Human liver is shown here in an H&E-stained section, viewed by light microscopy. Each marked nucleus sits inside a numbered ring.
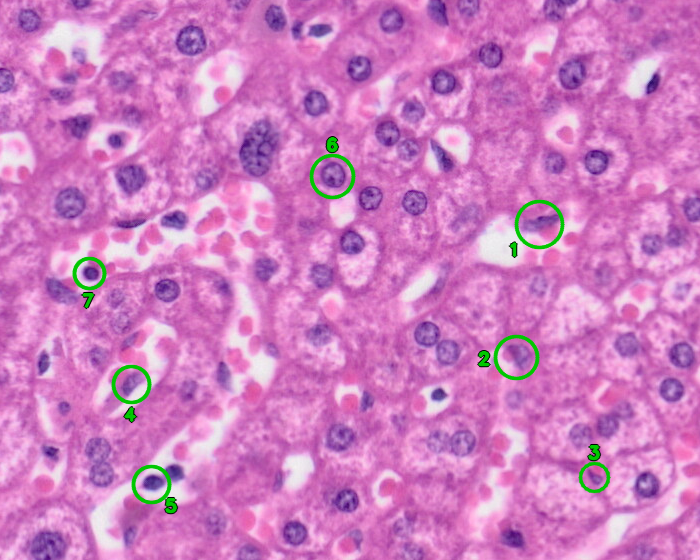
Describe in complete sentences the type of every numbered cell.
Cell 1 is a Kupffer cell, cell 2 is an endothelial cell, cell 3 is an endothelial cell, cell 4 is a Kupffer cell, cell 5 is a lymphocyte, cell 6 is a hepatocyte and cell 7 is a lymphocyte.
